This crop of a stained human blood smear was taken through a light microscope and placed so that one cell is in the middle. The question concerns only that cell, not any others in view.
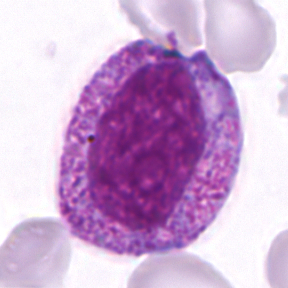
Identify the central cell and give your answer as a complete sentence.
Where the crop is centred, there is a promyelocyte.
